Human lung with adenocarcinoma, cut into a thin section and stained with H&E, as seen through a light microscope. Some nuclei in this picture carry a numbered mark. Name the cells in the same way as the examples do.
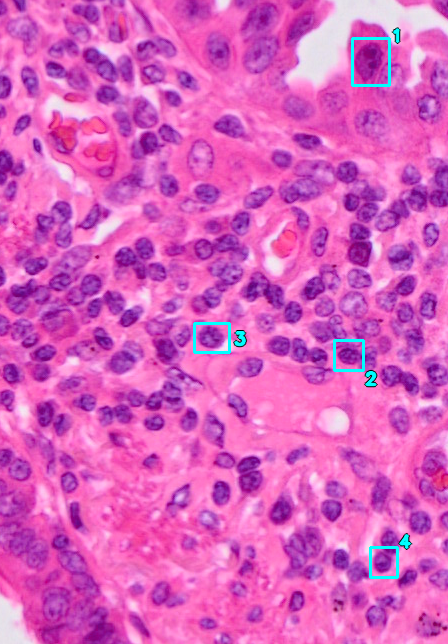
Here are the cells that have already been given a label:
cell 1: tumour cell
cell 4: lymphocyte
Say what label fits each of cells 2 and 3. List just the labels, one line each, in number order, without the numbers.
lymphocyte
lymphocyte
